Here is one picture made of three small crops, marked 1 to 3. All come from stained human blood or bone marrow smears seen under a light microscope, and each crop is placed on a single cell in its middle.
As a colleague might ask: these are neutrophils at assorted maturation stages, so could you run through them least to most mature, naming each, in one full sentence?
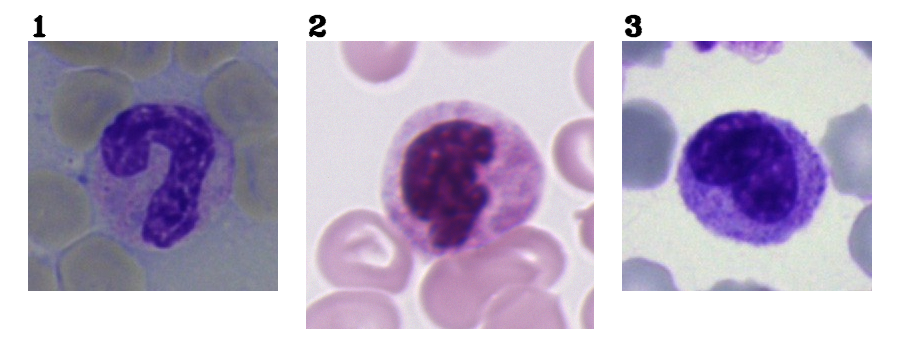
Ranked from the least mature cell to the most mature, they are crop 3 (a metamyelocyte), crop 1 (a band neutrophil) and crop 2 (a segmented neutrophil).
